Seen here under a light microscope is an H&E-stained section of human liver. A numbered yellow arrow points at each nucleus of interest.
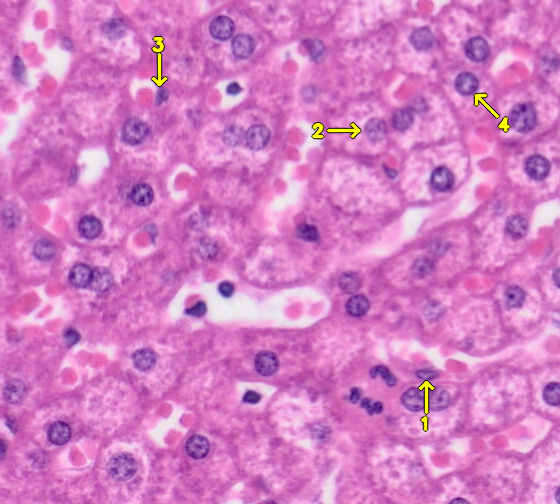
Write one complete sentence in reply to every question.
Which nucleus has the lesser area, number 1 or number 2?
Nucleus 1 covers less area, with nucleus 2 about 2 times as large.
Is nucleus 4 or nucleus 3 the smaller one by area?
The smaller nucleus is 3, and 4 covers roughly 2.5 times its area.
